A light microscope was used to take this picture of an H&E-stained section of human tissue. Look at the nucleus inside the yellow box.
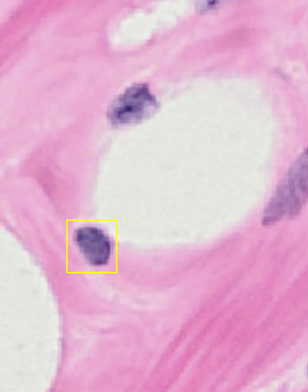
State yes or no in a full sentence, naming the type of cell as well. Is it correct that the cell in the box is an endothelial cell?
No, sorry, but the cell in the box is a lymphocyte and not an endothelial cell.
